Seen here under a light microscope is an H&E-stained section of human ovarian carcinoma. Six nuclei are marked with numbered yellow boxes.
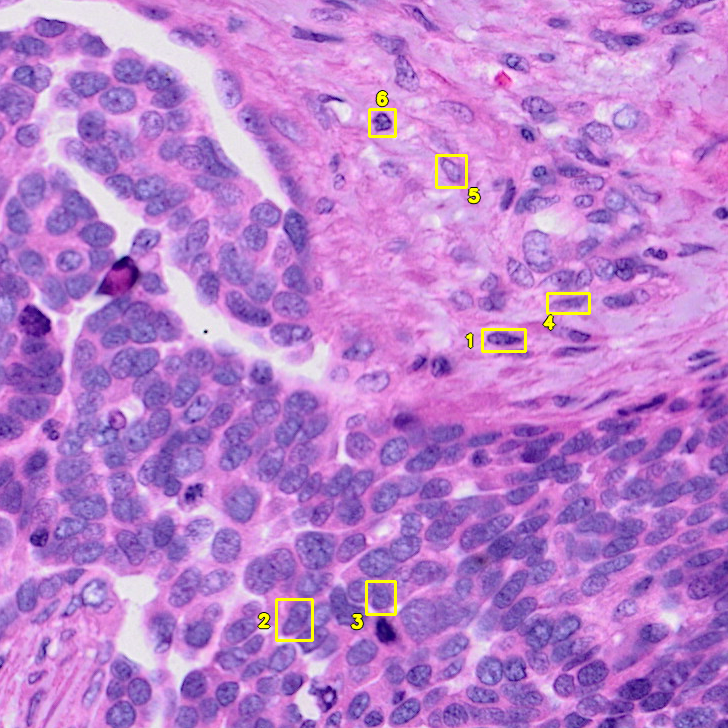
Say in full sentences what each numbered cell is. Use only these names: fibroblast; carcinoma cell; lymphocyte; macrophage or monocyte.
Cell 1 is a macrophage or monocyte, cell 2 is a carcinoma cell, cell 3 is a carcinoma cell, cell 4 is a fibroblast, cell 5 is a fibroblast and cell 6 is a lymphocyte.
